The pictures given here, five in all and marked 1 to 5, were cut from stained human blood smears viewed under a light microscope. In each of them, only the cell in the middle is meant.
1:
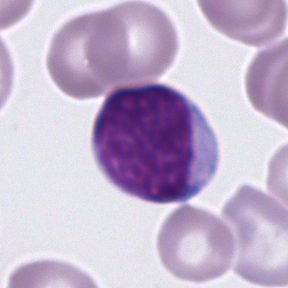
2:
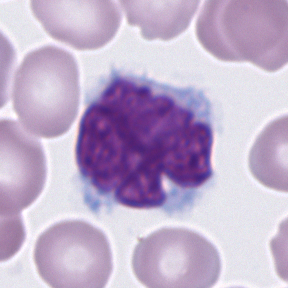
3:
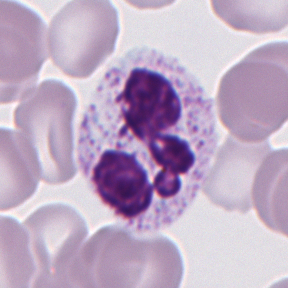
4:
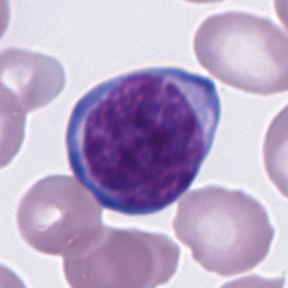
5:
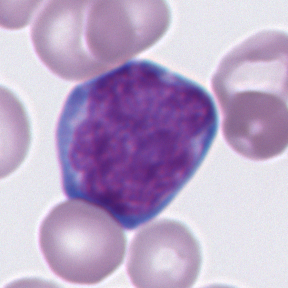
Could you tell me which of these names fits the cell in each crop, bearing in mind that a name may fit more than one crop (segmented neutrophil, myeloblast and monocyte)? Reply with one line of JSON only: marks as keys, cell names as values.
{"1": "myeloblast", "2": "monocyte", "3": "segmented neutrophil", "4": "myeloblast", "5": "myeloblast"}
